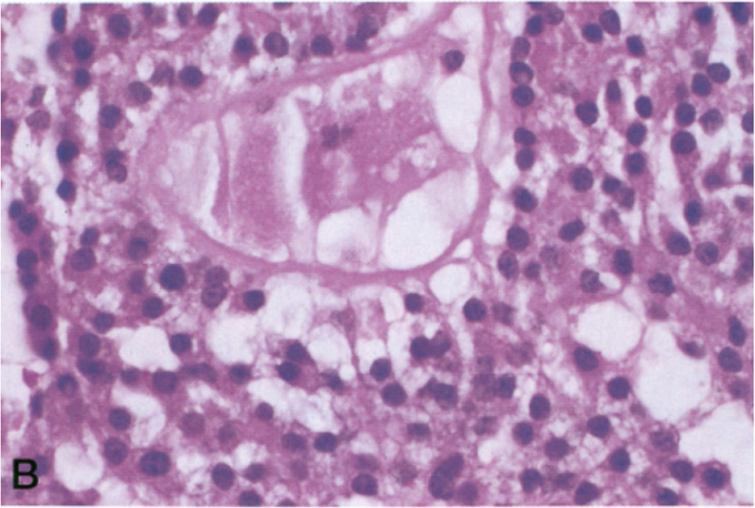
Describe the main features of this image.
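At the centre lies a rounded structure bounded by a thin pink rim, taken to be an ovum that is breaking down. At the sides the surrounding cells line up in rows. The rim and the loose, vacuolated contents suggest a degenerating ovum among follicle cells.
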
